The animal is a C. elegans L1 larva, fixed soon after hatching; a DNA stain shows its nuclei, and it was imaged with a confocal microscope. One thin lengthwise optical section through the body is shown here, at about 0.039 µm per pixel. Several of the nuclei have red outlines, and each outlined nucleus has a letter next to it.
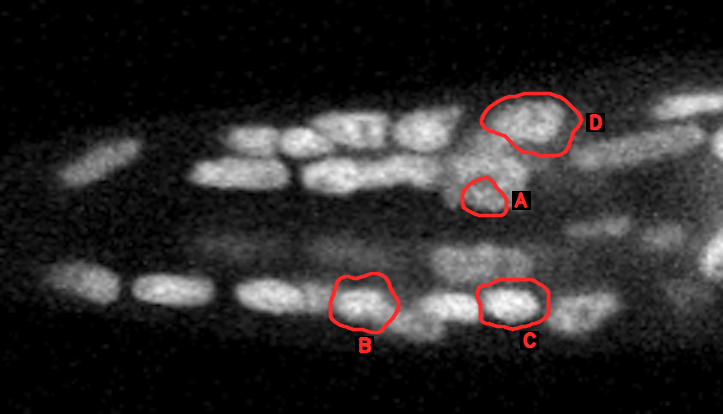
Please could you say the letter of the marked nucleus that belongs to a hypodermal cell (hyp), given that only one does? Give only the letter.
D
